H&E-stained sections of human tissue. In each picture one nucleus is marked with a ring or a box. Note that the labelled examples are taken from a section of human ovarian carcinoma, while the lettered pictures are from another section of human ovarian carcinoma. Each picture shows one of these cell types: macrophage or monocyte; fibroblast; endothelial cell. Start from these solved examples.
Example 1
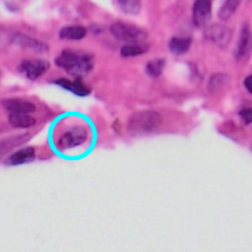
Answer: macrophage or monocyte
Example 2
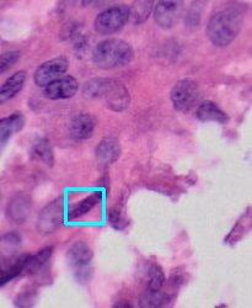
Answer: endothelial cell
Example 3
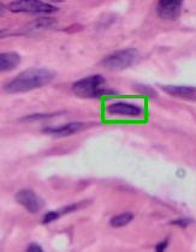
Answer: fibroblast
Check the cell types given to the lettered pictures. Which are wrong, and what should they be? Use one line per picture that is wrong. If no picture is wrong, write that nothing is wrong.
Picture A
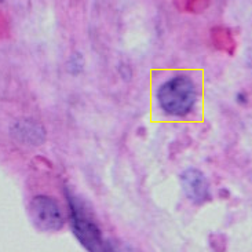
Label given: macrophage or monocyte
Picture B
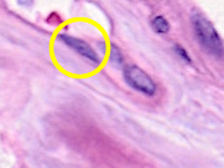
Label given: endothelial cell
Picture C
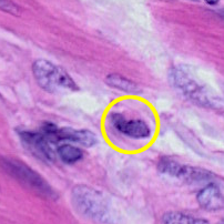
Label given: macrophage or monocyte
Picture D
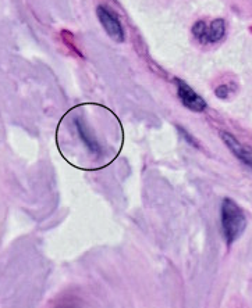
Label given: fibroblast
None of the labels needs changing.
